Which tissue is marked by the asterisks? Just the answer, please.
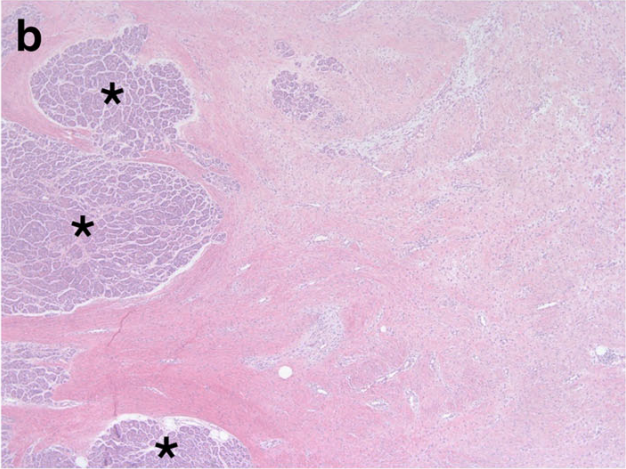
Pancreatic parenchyma.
